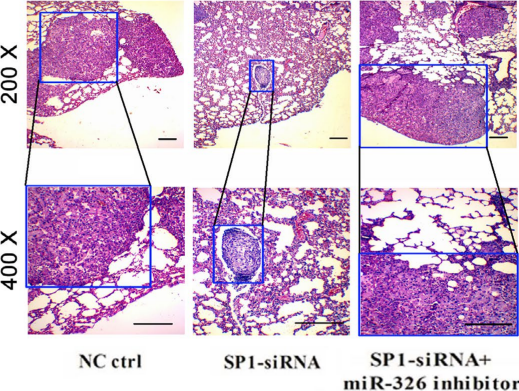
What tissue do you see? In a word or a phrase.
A: lung tissues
